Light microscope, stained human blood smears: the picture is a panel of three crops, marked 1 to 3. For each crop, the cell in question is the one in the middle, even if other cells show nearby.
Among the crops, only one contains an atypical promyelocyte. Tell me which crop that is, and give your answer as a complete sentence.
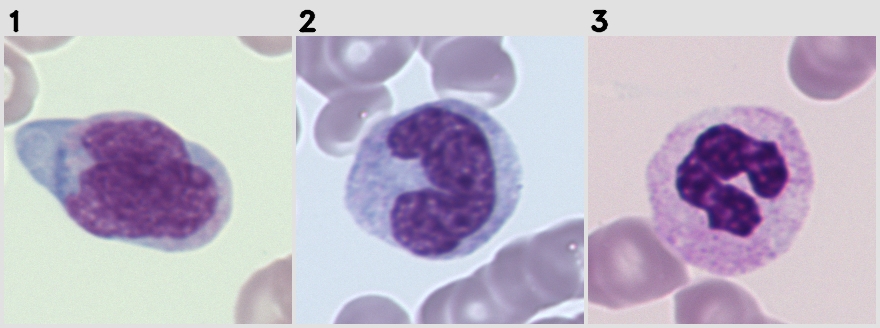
In the set of crops, crop 1 is the one that contains an atypical promyelocyte.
